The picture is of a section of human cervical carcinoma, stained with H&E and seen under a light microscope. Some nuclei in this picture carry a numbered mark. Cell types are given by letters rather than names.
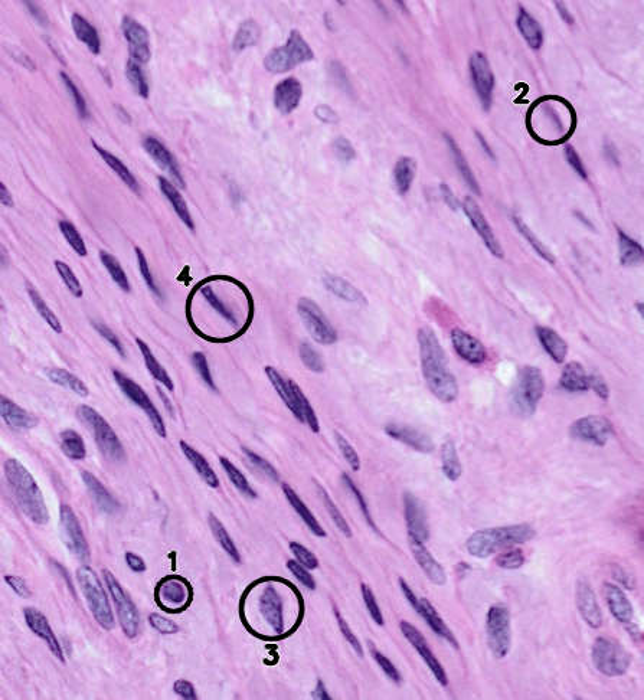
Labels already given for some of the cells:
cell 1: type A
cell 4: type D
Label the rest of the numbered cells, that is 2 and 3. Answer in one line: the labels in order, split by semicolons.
type D; type D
